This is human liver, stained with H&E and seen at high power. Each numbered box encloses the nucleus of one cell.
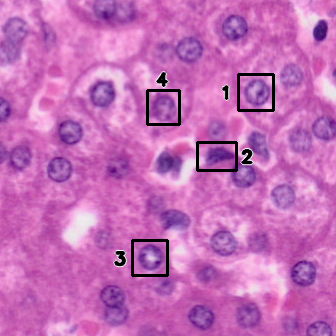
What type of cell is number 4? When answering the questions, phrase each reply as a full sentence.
Identified as a hepatocyte is the cell bearing the number 4.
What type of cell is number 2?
The cell bearing label 2 corresponds to a fibroblast or stellate cell.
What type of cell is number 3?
As for number 3, that cell is a hepatocyte.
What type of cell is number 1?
Among the marked cells, number 1 is a hepatocyte.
